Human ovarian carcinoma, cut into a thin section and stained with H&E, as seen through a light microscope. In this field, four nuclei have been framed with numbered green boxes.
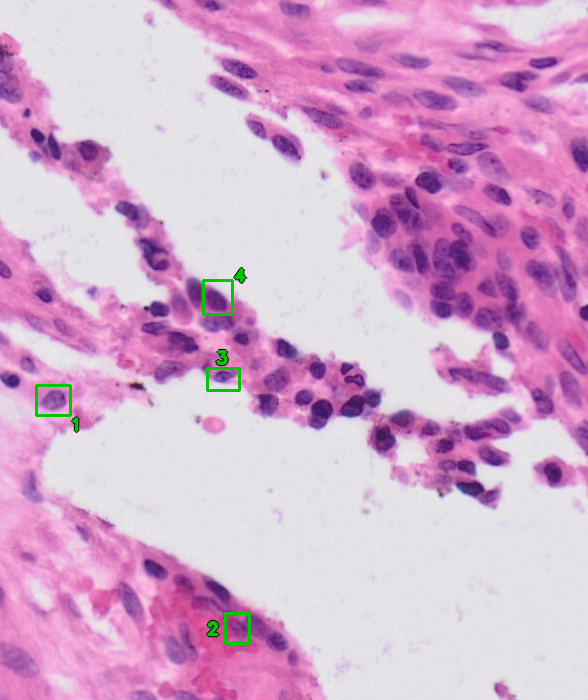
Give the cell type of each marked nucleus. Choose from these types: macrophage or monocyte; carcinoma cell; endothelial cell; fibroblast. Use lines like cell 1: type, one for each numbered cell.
cell 1: macrophage or monocyte
cell 2: endothelial cell
cell 3: macrophage or monocyte
cell 4: carcinoma cell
